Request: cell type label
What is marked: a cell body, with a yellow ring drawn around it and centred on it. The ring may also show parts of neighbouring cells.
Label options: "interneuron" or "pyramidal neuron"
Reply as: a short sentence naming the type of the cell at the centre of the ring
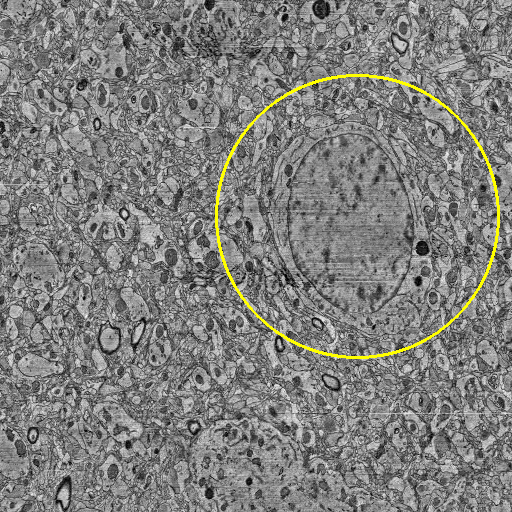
The marked cell body is that of a pyramidal neuron.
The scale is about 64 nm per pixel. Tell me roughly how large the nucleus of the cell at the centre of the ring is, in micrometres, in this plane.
In this plane, roughly 12 by 8 micrometres.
